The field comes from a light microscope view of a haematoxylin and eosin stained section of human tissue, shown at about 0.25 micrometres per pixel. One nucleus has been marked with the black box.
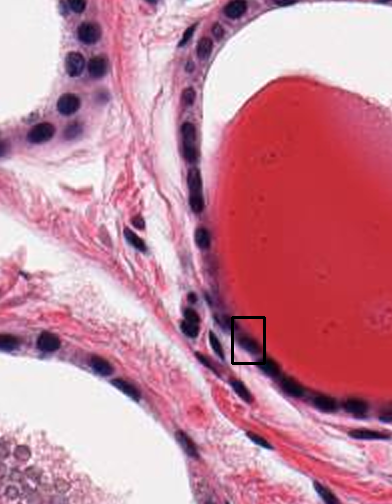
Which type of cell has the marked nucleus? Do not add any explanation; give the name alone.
thyroid follicular cell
